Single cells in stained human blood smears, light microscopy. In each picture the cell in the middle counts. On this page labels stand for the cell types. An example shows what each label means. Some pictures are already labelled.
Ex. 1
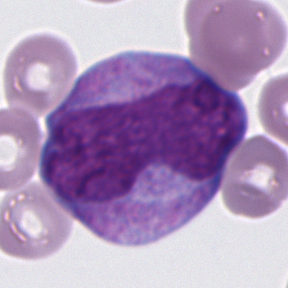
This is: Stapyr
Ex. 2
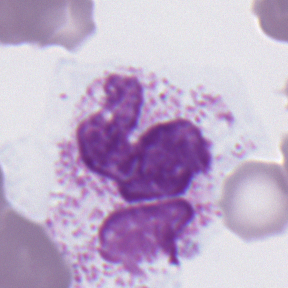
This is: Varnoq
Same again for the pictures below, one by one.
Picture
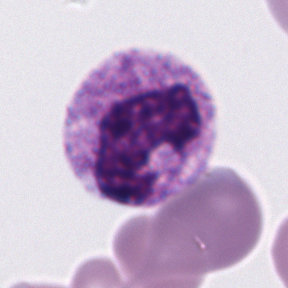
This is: Varnoq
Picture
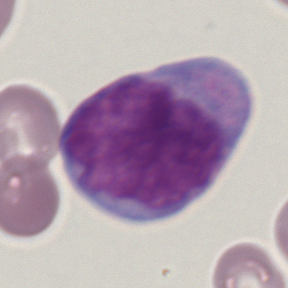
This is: Stapyr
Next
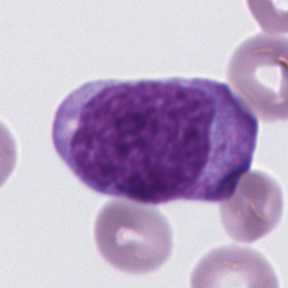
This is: Stapyr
